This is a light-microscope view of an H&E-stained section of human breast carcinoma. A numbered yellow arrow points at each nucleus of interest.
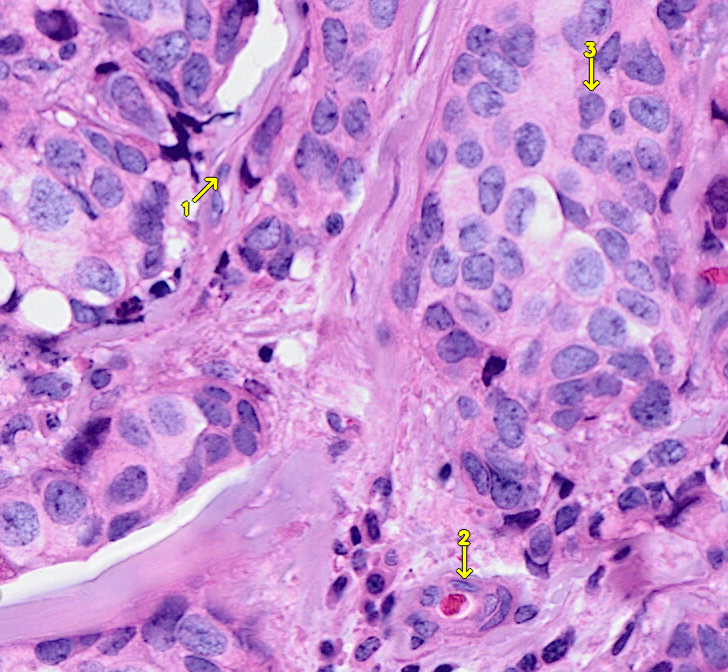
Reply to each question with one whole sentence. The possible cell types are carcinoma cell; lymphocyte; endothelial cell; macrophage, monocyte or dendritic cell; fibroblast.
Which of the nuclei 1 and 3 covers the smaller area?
Nucleus 1 is the smaller one; nucleus 3 covers about 4 times its area.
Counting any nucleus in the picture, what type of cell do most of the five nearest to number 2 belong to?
Endothelial cells account for more than half of the five nuclei nearest to number 2.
